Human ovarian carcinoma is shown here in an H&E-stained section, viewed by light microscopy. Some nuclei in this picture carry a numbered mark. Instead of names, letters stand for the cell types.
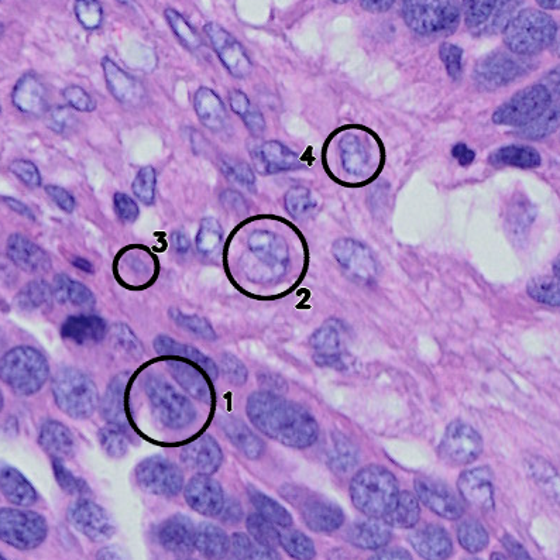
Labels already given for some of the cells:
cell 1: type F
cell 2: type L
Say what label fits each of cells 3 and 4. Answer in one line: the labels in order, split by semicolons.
type L; type L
